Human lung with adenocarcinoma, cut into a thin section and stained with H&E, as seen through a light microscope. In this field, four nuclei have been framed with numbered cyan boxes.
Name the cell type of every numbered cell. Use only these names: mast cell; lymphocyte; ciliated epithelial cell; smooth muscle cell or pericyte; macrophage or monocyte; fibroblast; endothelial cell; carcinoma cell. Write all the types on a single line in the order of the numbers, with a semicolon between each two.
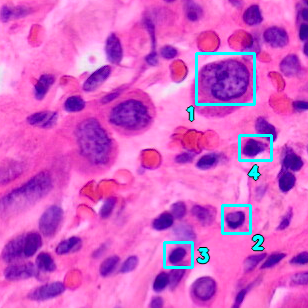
carcinoma cell; lymphocyte; lymphocyte; lymphocyte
